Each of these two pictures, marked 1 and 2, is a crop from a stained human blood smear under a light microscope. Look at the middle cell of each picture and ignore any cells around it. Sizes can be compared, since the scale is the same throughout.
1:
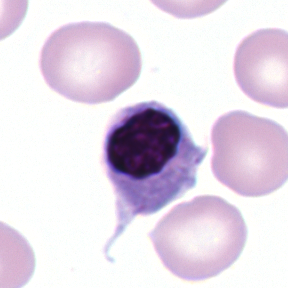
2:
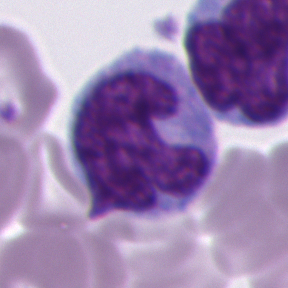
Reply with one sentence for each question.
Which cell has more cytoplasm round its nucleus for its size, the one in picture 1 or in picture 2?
The nucleus fills less of the cell in picture 1 than in picture 2.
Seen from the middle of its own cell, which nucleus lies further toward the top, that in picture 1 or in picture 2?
In picture 1 the nucleus is shifted more toward the top.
